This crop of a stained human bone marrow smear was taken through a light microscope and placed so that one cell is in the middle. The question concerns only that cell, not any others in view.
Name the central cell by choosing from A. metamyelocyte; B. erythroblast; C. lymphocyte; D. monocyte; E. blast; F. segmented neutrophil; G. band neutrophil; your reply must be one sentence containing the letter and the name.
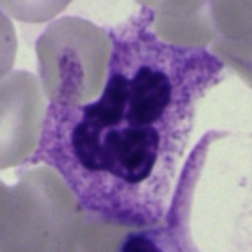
Since the cell in the centre is a segmented neutrophil, the correct option is F.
